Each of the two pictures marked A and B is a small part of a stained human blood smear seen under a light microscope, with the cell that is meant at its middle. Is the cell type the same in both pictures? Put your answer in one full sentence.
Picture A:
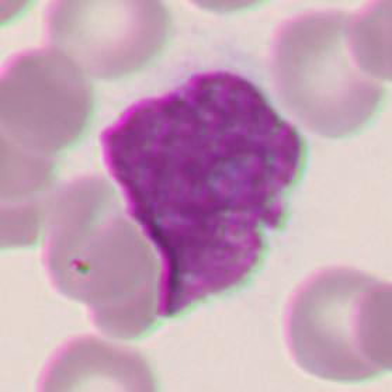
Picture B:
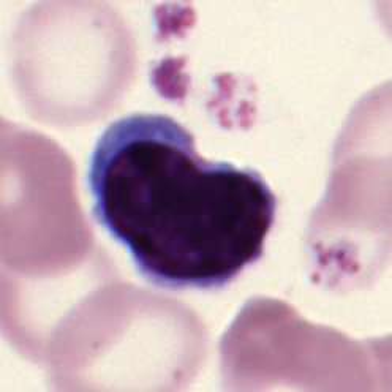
No, they differ: the cell is a smudge cell in picture A and a typical lymphocyte in picture B.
